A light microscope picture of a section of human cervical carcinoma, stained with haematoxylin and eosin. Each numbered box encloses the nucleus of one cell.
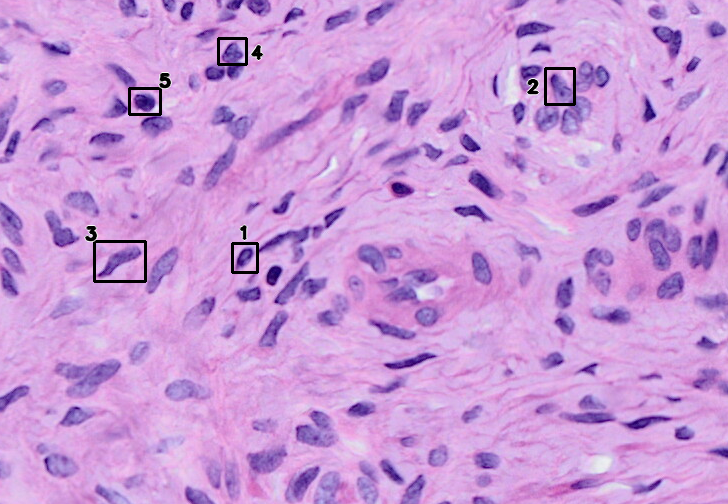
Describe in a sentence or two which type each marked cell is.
Cells 1, 3 and 4 are fibroblasts. Cell 2 is an endothelial cell. Cell 5 is a lymphocyte.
